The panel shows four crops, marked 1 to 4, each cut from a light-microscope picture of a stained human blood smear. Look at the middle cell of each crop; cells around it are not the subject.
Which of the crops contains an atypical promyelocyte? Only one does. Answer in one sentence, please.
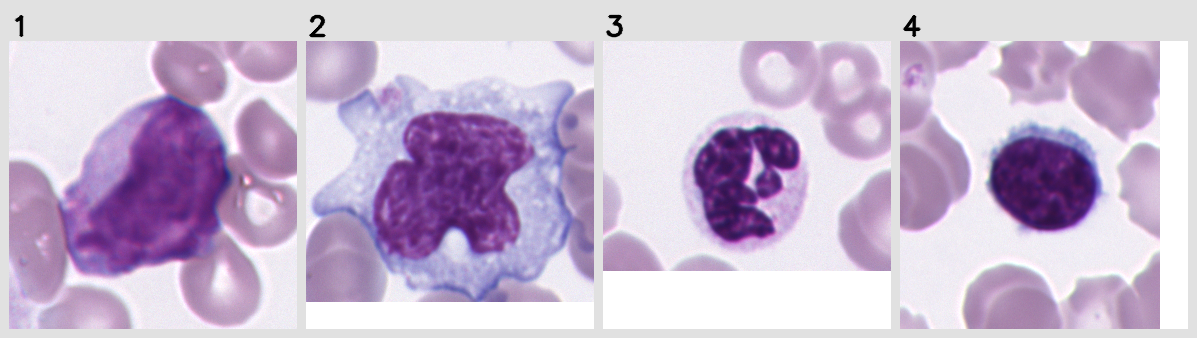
Crop 1 is where an atypical promyelocyte is shown.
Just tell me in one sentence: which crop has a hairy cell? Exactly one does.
Crop 4, of the crops presented, is the one showing a hairy cell.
